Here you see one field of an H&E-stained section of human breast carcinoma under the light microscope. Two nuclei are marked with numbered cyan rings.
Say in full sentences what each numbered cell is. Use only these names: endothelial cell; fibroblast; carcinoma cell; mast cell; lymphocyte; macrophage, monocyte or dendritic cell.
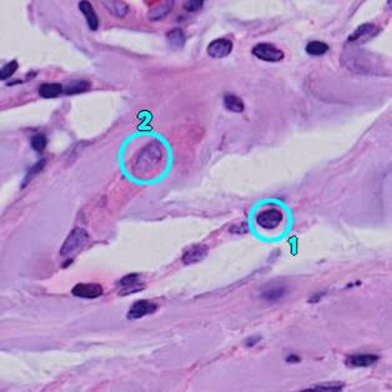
Cell 1 is a lymphocyte. Cell 2 is an endothelial cell.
